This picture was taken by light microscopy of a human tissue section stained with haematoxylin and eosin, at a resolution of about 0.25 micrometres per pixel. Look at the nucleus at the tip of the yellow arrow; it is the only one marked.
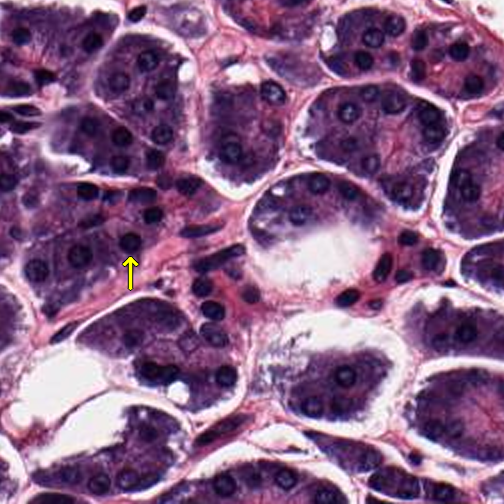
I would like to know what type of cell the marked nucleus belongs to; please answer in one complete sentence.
The marked nucleus is seen to belong to a pancreatic acinar cell.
